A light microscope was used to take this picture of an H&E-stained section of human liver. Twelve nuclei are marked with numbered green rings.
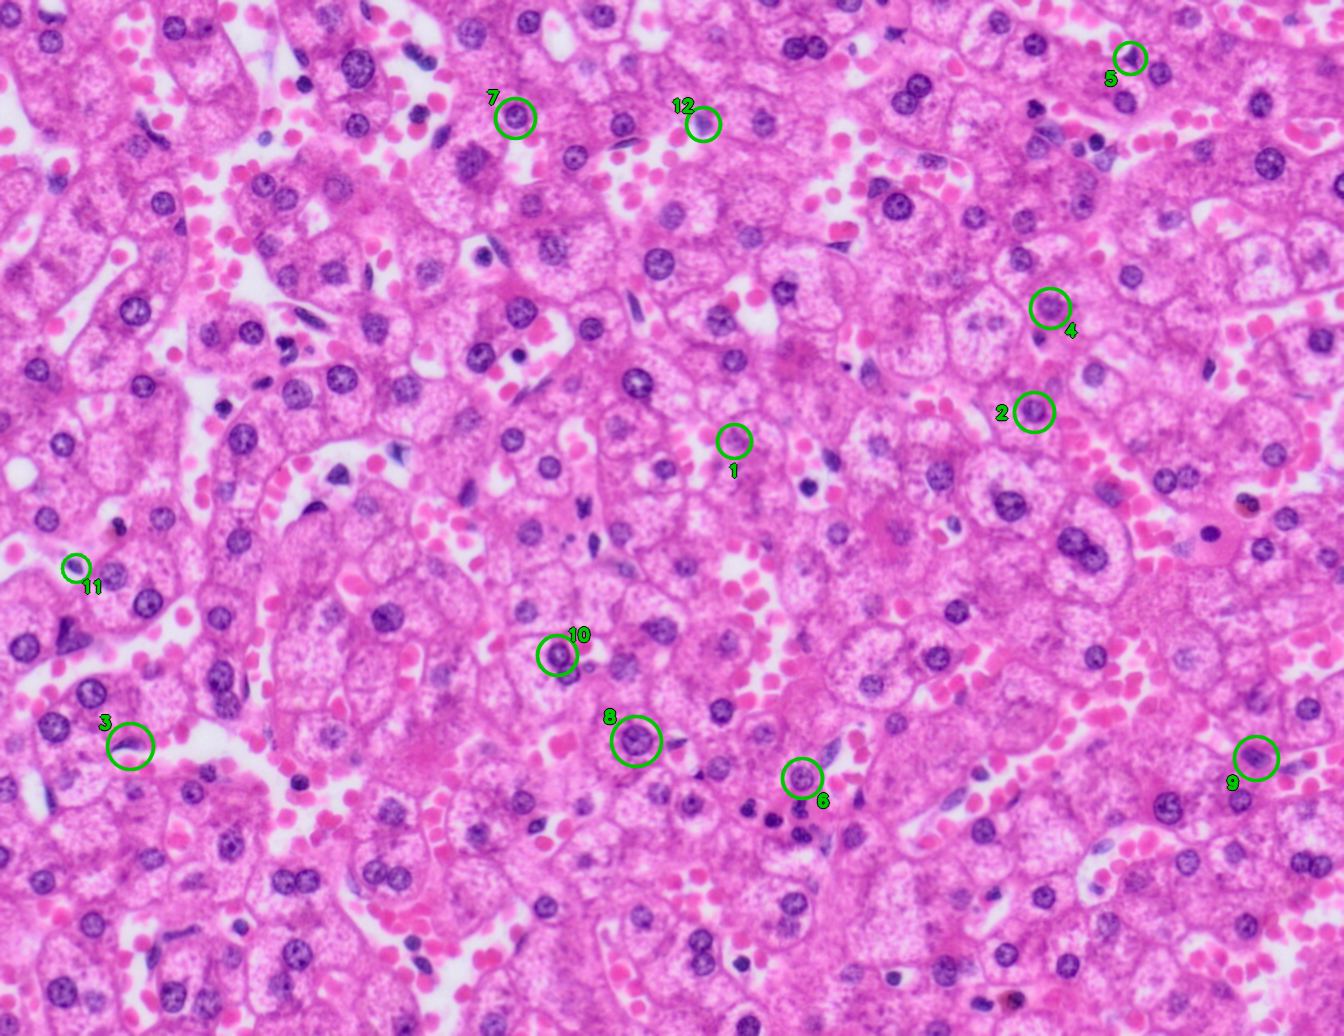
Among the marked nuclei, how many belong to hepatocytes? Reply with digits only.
7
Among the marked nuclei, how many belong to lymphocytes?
1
